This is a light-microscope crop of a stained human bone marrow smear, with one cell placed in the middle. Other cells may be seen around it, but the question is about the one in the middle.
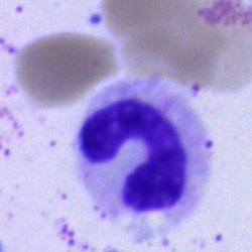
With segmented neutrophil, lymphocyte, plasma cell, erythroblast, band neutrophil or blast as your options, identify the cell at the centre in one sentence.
The cell positioned in the middle of the field is a band neutrophil.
